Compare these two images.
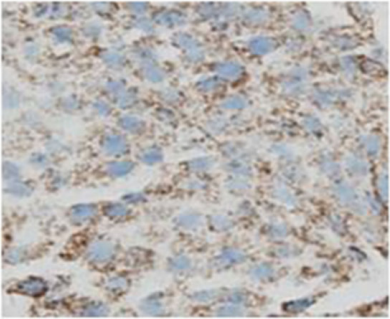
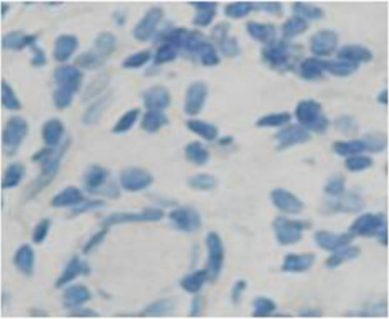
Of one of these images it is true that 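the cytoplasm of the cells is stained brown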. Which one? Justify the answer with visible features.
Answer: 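The first image. Second image: only blue counterstained nuclei on a pale background, no brown anywhere. First image: fine brown granules fill the cytoplasm around the blue nuclei throughout the field.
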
